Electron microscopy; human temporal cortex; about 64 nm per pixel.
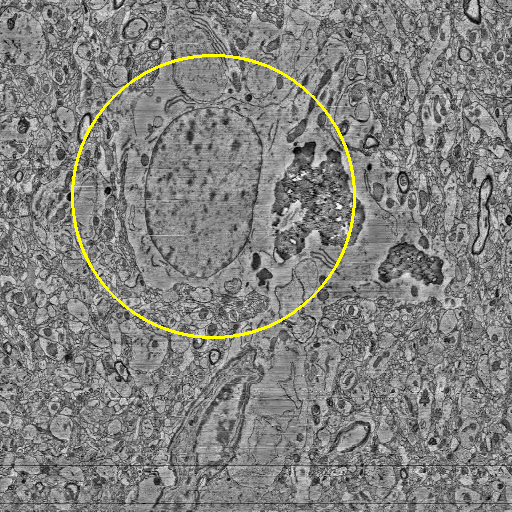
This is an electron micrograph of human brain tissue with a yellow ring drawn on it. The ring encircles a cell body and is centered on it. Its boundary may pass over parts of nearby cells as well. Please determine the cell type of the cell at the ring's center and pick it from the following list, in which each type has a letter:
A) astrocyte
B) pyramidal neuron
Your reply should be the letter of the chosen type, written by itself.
A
